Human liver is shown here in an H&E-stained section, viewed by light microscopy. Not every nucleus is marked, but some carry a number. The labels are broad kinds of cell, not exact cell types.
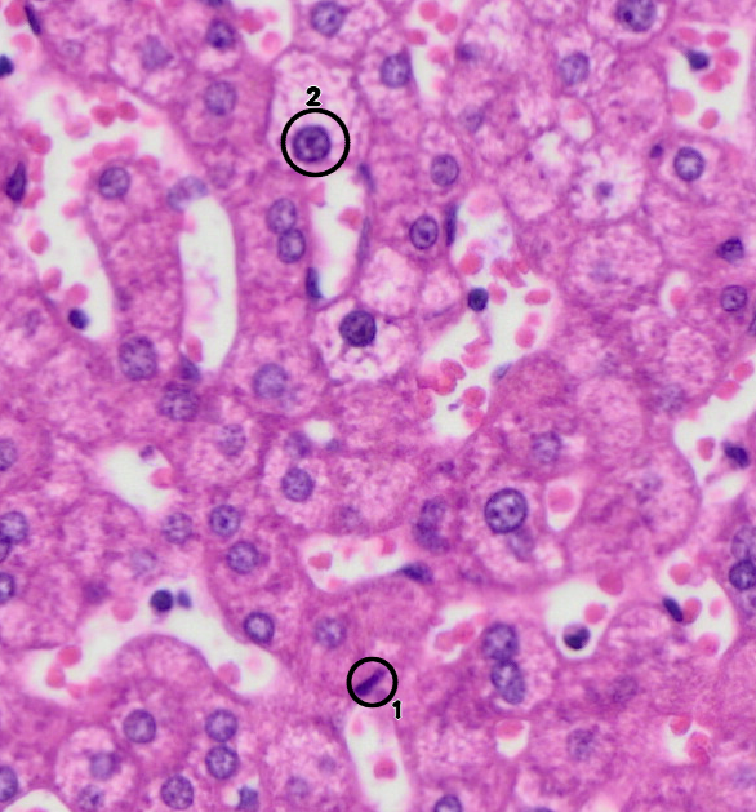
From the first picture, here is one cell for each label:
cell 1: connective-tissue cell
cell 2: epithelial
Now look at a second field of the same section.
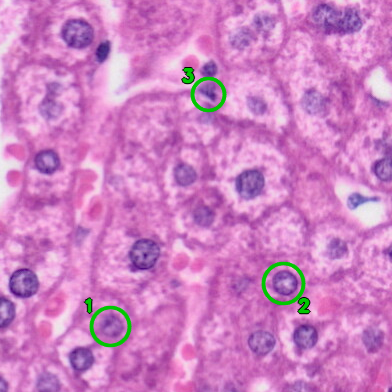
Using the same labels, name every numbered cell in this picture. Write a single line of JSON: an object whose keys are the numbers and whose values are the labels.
{"1": "epithelial", "2": "epithelial", "3": "connective-tissue cell"}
